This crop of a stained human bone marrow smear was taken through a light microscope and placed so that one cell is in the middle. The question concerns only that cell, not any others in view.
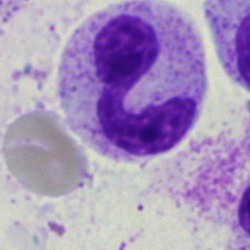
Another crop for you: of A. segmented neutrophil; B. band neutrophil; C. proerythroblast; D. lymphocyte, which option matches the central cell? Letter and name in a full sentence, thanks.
Option A is the keyed answer: the cell in the middle is a segmented neutrophil.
